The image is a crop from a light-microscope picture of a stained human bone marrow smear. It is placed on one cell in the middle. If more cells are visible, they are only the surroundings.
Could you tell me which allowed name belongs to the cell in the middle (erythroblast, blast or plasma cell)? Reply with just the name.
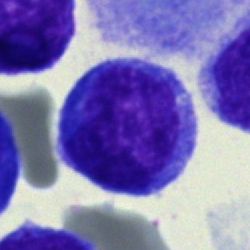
blast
